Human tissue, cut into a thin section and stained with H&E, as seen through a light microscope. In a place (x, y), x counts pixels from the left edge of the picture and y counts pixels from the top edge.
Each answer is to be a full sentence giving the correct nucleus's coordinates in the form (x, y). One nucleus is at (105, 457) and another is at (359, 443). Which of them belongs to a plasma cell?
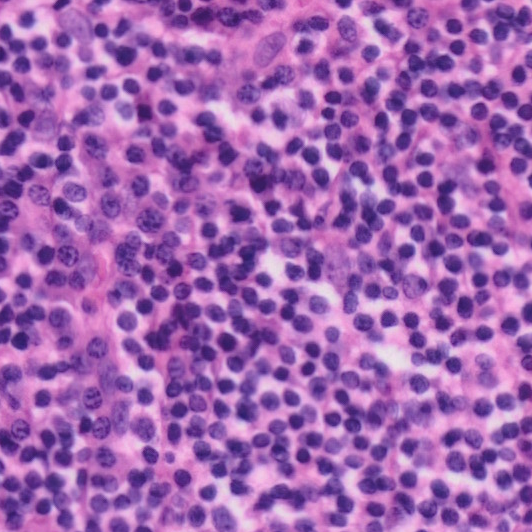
Of these two nuclei, it is the one at (105, 457) that belongs to a plasma cell.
